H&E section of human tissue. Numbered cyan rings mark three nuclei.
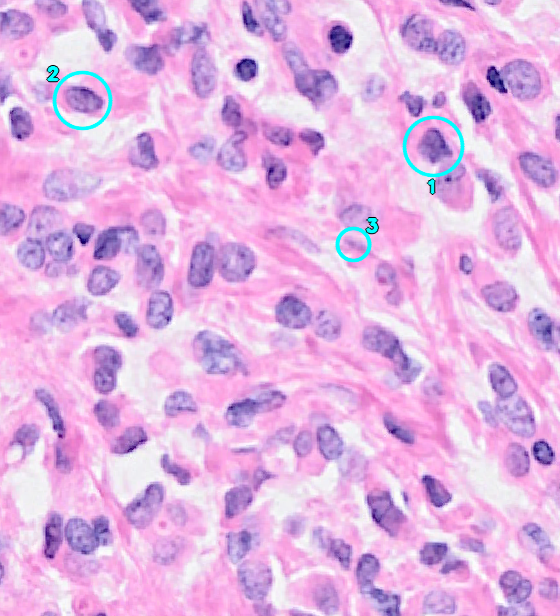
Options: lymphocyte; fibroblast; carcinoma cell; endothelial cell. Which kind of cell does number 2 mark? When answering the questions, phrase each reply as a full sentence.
The one numbered 2 among the marked cells is a carcinoma cell.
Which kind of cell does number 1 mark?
Here the cell numbered 1 is a carcinoma cell.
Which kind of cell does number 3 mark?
The cell identified by number 3 is a fibroblast.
